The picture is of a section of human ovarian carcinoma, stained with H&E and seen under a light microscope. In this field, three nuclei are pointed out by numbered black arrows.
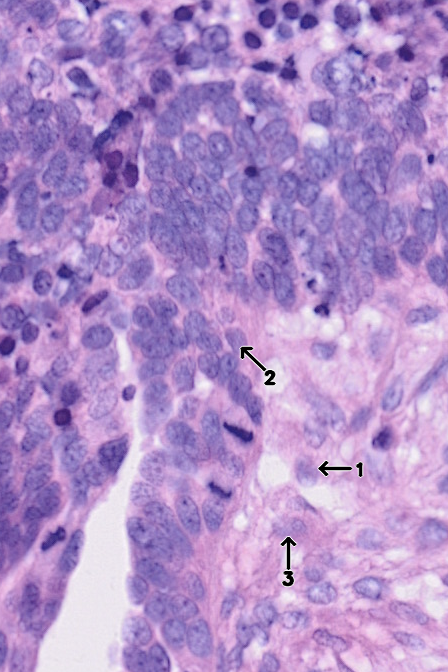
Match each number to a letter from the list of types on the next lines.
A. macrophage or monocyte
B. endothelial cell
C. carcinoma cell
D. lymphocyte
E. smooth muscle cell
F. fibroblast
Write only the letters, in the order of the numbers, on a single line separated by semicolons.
F; C; F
